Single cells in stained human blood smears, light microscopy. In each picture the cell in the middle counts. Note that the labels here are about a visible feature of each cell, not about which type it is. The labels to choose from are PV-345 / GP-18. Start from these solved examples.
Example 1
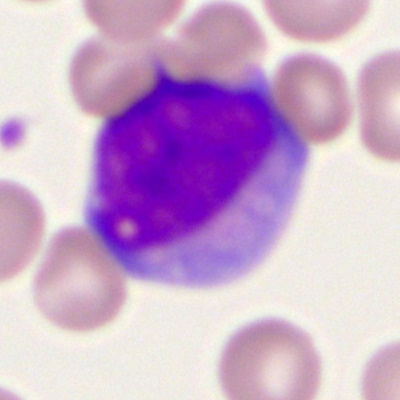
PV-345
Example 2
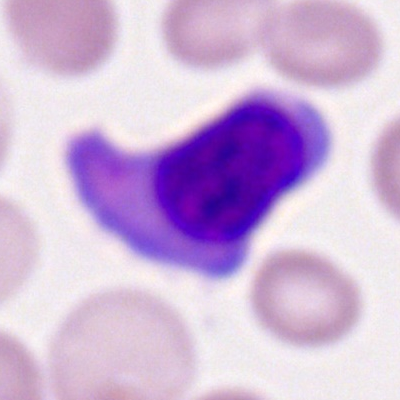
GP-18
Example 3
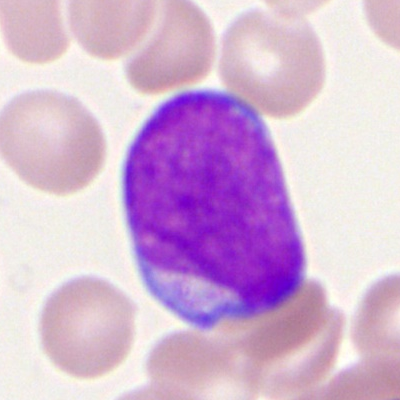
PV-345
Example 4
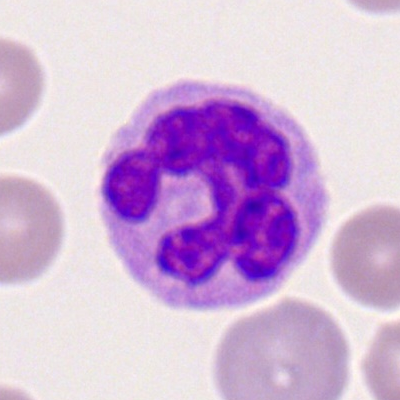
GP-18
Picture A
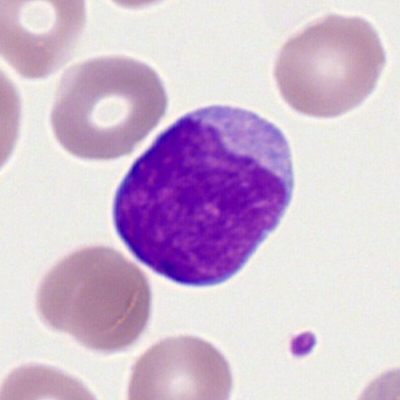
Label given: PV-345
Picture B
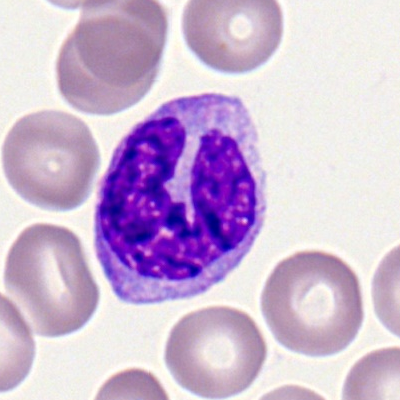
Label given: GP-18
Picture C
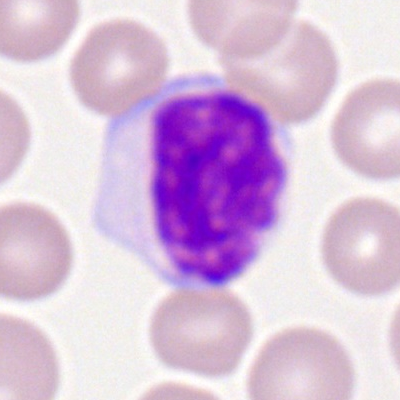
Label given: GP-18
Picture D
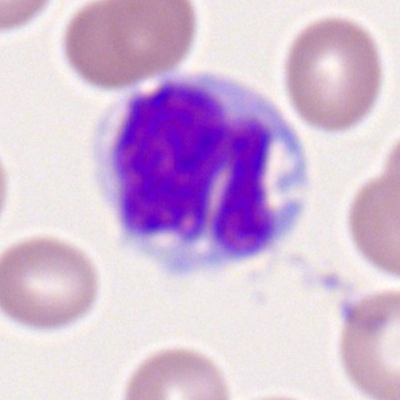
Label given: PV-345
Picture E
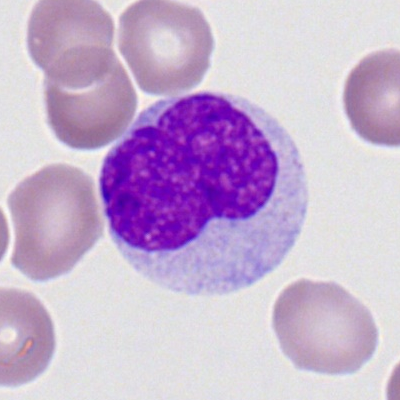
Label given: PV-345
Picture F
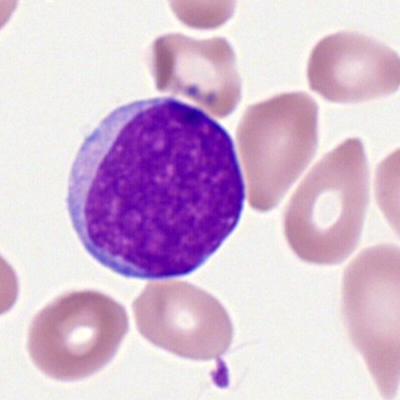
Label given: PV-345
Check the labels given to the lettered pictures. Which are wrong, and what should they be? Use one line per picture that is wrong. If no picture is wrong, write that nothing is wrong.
Wrong: B (GP-18); correct: PV-345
